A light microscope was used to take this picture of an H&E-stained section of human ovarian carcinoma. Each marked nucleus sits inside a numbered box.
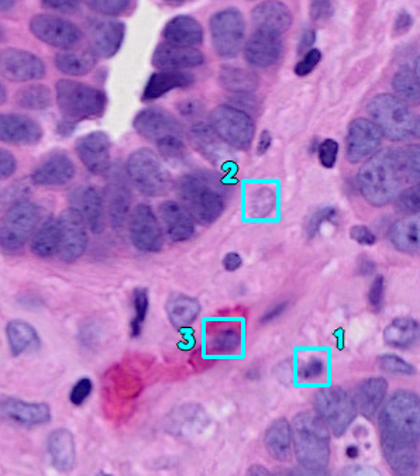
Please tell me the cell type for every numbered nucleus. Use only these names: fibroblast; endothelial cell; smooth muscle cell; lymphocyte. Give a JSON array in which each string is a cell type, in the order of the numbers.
["lymphocyte", "fibroblast", "endothelial cell"]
